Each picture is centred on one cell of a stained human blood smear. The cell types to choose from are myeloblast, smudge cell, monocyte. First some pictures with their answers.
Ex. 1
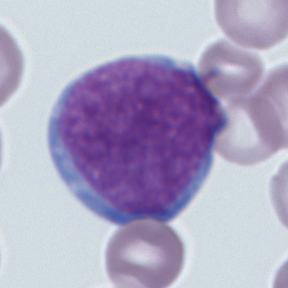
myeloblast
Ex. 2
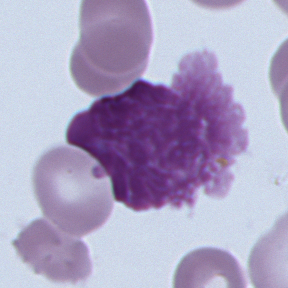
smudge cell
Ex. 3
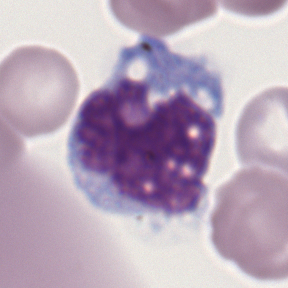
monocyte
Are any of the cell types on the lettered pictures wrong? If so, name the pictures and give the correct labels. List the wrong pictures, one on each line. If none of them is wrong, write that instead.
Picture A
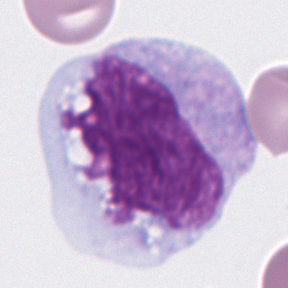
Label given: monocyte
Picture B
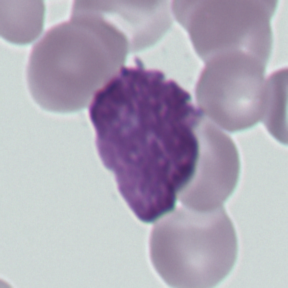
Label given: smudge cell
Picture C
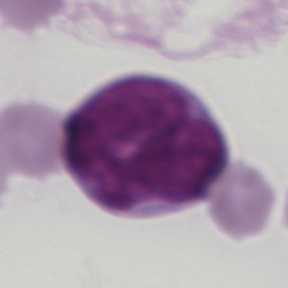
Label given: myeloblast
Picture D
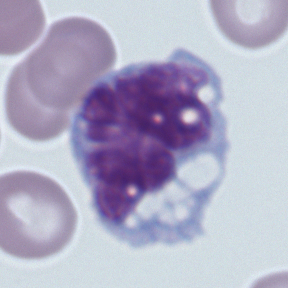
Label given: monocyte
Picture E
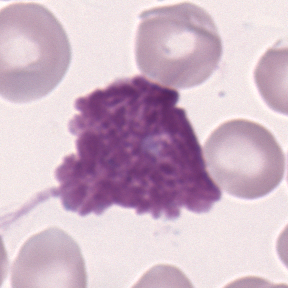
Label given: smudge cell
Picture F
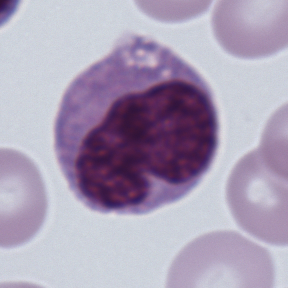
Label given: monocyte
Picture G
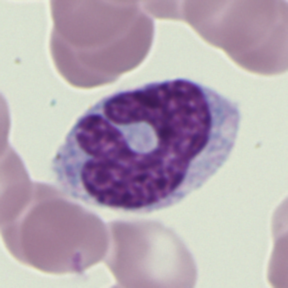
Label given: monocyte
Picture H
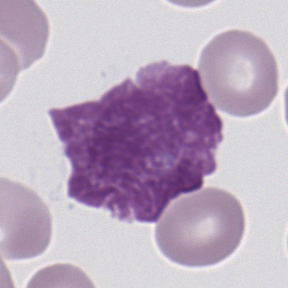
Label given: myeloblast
H: change myeloblast to smudge cell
